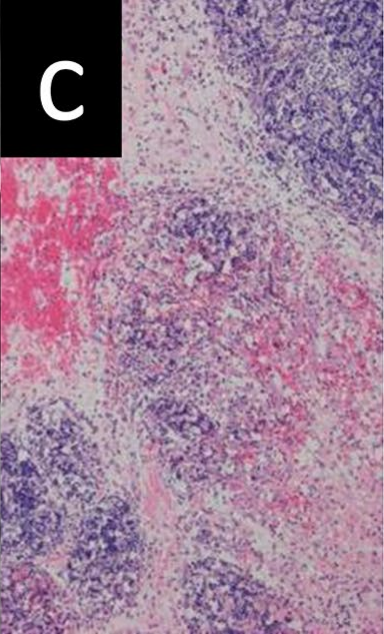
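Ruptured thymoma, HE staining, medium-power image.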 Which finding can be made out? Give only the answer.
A: Internal necrosis and inflammation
